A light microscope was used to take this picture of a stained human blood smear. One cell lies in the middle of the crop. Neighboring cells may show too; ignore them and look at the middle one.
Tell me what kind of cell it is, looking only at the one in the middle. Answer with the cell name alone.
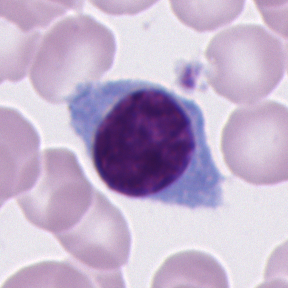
lymphocyte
